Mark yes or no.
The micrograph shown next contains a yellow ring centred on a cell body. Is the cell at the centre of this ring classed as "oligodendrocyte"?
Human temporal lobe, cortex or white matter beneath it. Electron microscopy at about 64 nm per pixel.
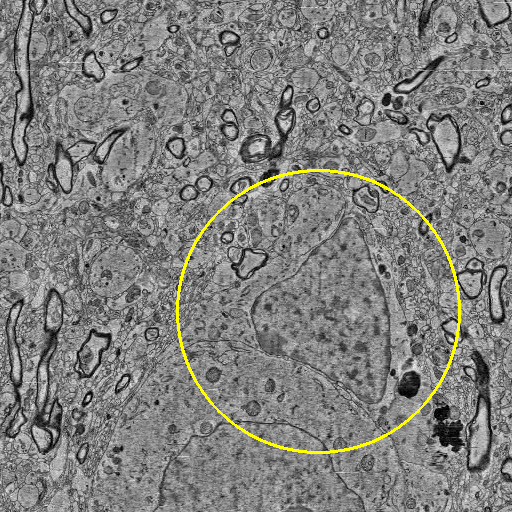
no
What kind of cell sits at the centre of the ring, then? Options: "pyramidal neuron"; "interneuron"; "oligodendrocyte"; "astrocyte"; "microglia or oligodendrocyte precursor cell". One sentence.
The cell in question here is a microglial cell or oligodendrocyte precursor cell.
